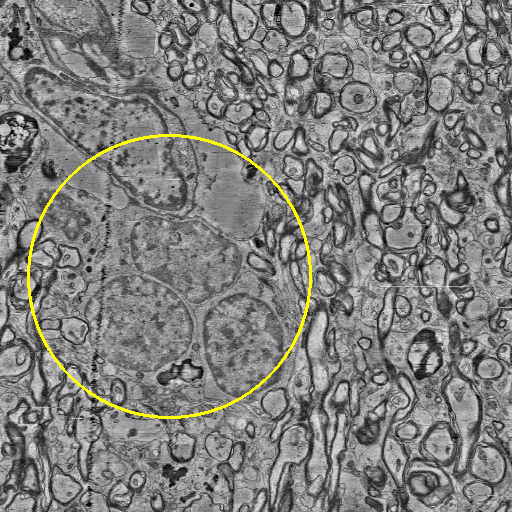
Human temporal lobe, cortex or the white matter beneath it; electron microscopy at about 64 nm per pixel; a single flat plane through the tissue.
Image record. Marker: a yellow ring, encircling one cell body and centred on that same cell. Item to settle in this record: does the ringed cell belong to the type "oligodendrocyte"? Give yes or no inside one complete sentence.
Yes, in the picture, the cell centred within the yellow ring is of the stated type.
